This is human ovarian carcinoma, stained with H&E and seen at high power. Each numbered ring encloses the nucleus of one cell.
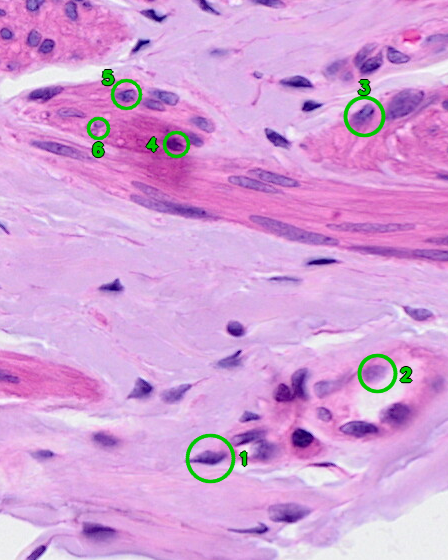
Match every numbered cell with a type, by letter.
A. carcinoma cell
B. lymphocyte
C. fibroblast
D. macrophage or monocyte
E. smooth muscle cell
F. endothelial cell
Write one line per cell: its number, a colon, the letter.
1: C
2: F
3: E
4: E
5: E
6: E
